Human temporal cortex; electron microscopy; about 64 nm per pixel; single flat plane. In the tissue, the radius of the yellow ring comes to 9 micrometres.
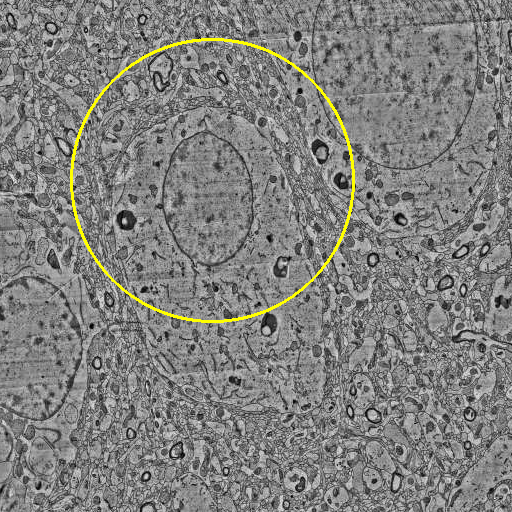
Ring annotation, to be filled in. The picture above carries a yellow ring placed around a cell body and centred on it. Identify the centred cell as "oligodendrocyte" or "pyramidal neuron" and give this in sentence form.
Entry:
The cell in the middle of the ring is a pyramidal neuron.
